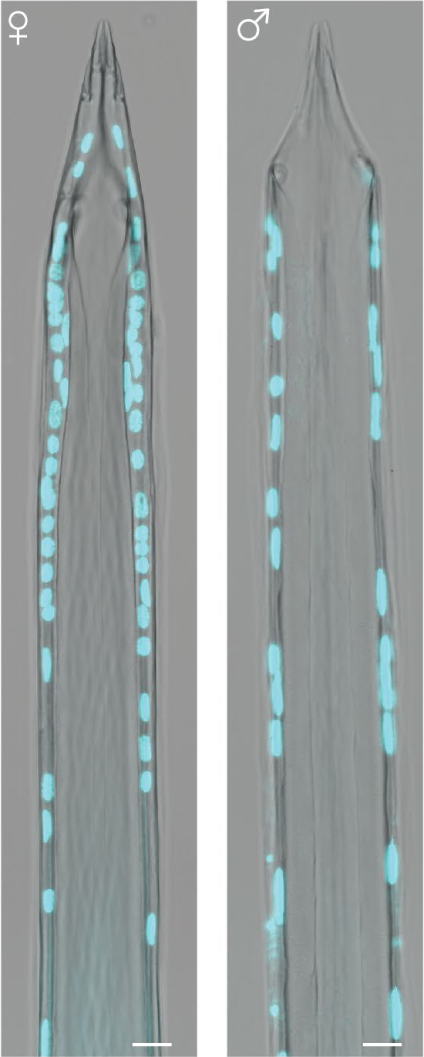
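Two tapering stylet tips side by side under transmitted light, cyan nuclei lining both lateral margins. In the right stylet the nuclei are fewer and spaced apart, forming sparse beaded rows along the margins and stopping well short of the tip. The central shaft between the margins is free of nuclei in both. The tips are narrow, cuticular and pointed, with a flared shoulder where the margins converge.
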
